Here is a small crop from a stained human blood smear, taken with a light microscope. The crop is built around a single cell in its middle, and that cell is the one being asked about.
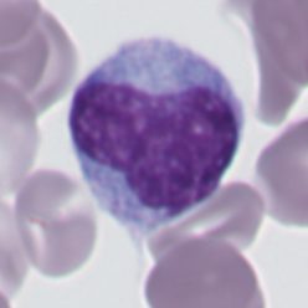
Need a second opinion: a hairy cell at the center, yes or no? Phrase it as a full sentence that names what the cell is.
No, rather than a hairy cell, the central cell is a monocyte.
